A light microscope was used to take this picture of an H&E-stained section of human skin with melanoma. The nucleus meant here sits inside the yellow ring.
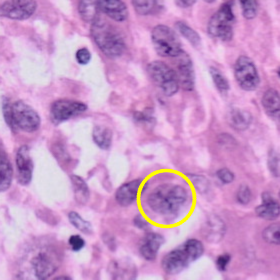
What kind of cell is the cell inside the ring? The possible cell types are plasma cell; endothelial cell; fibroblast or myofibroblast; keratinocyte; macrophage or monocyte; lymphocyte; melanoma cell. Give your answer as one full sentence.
In the stained section, the cell inside the ring is a melanoma cell.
